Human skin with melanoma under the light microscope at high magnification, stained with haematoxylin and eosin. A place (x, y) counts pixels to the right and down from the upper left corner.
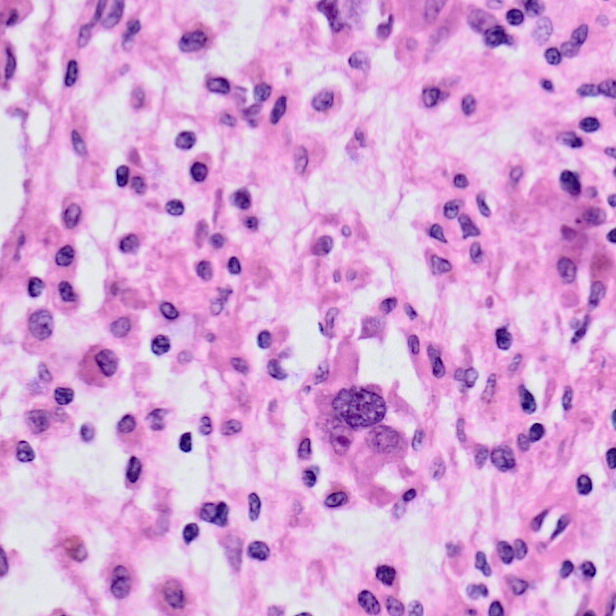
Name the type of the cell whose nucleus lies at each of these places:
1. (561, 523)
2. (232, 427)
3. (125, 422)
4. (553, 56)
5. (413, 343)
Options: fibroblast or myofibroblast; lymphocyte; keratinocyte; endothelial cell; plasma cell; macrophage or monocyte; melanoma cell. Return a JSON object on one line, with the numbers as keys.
{"1": "endothelial cell", "2": "macrophage or monocyte", "3": "macrophage or monocyte", "4": "lymphocyte", "5": "macrophage or monocyte"}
